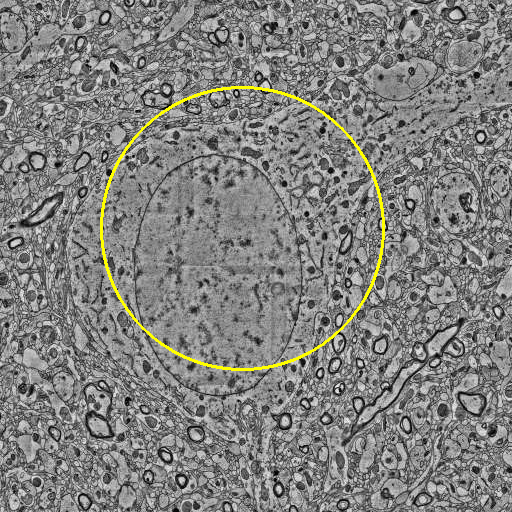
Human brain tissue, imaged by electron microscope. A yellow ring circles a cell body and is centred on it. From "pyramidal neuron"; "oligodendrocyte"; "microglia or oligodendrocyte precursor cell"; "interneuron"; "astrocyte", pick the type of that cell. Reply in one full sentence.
The cell body at the centre of the yellow ring belongs to a pyramidal neuron.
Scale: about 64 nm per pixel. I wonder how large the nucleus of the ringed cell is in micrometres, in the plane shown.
In this plane, roughly 16 by 11 micrometres.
